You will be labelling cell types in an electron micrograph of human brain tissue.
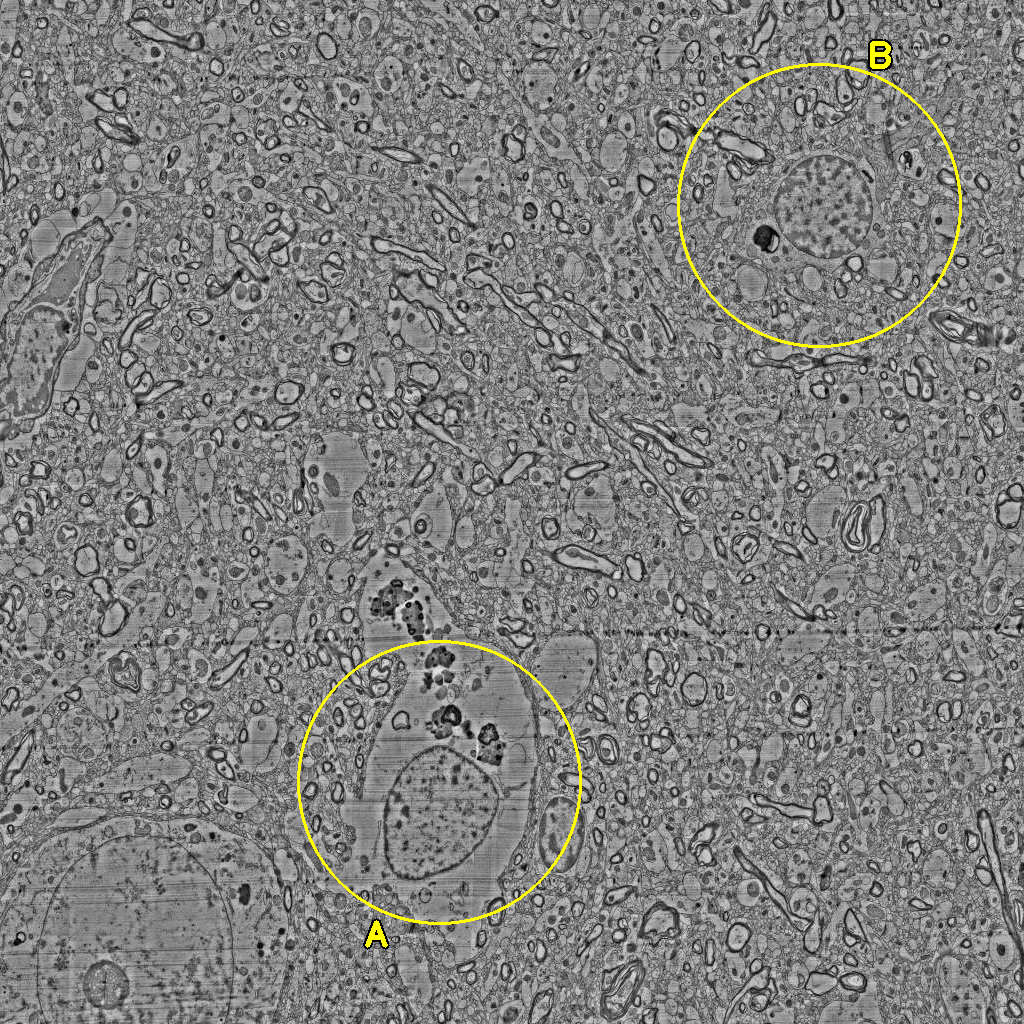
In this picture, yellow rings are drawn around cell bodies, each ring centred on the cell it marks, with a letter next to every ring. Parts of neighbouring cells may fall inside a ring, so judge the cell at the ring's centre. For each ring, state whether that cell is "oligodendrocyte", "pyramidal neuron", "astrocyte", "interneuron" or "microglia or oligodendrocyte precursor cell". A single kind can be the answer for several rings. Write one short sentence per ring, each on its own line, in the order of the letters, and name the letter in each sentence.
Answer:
Ring A contains an astrocyte at its centre.
Ring B contains an oligodendrocyte at its centre.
